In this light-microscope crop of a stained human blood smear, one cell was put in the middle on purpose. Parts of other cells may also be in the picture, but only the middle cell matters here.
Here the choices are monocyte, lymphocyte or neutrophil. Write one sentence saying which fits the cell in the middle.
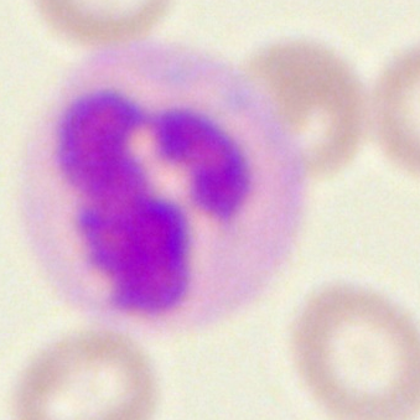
By classification, the middle cell of this crop is a neutrophil.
